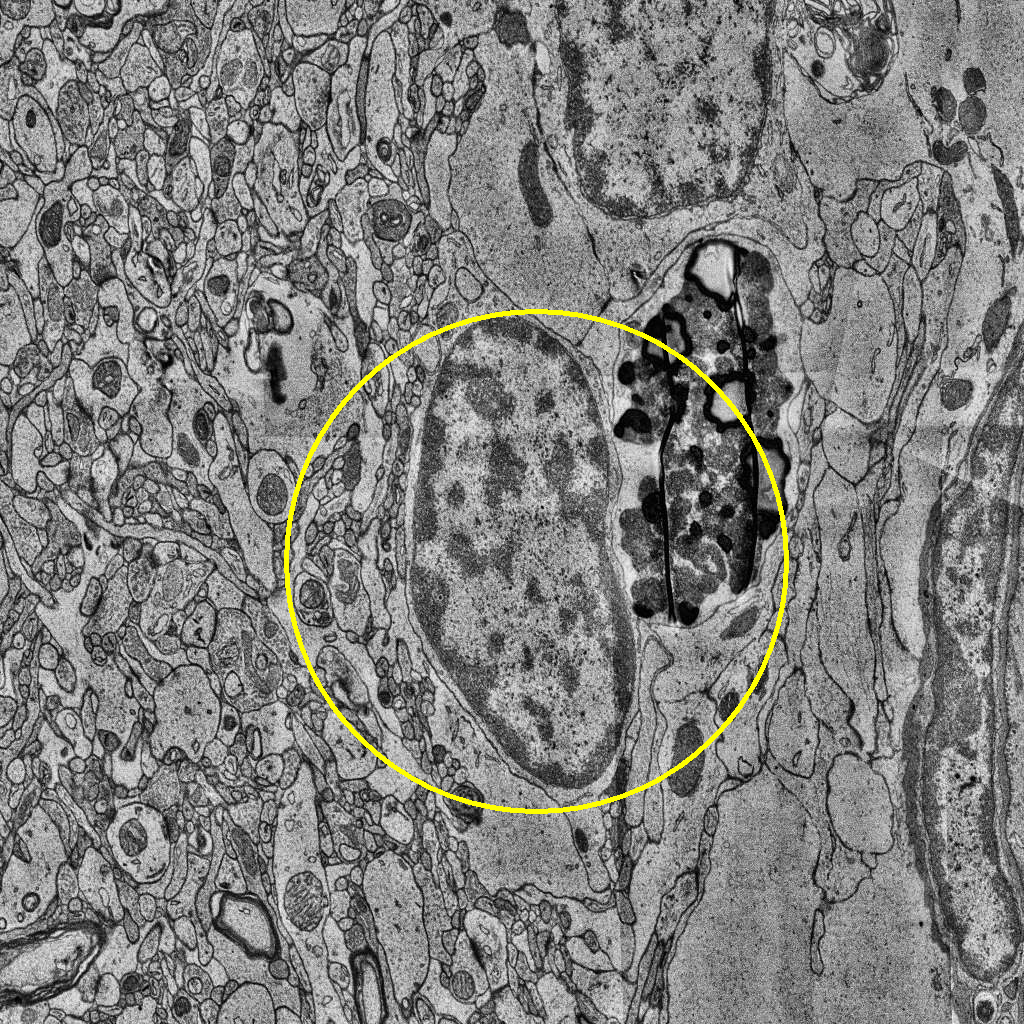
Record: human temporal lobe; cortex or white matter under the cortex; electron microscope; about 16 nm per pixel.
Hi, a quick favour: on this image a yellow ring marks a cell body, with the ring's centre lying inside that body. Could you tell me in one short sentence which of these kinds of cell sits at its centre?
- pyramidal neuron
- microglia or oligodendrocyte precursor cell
The ring's centre lies in a microglial cell or oligodendrocyte precursor cell.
